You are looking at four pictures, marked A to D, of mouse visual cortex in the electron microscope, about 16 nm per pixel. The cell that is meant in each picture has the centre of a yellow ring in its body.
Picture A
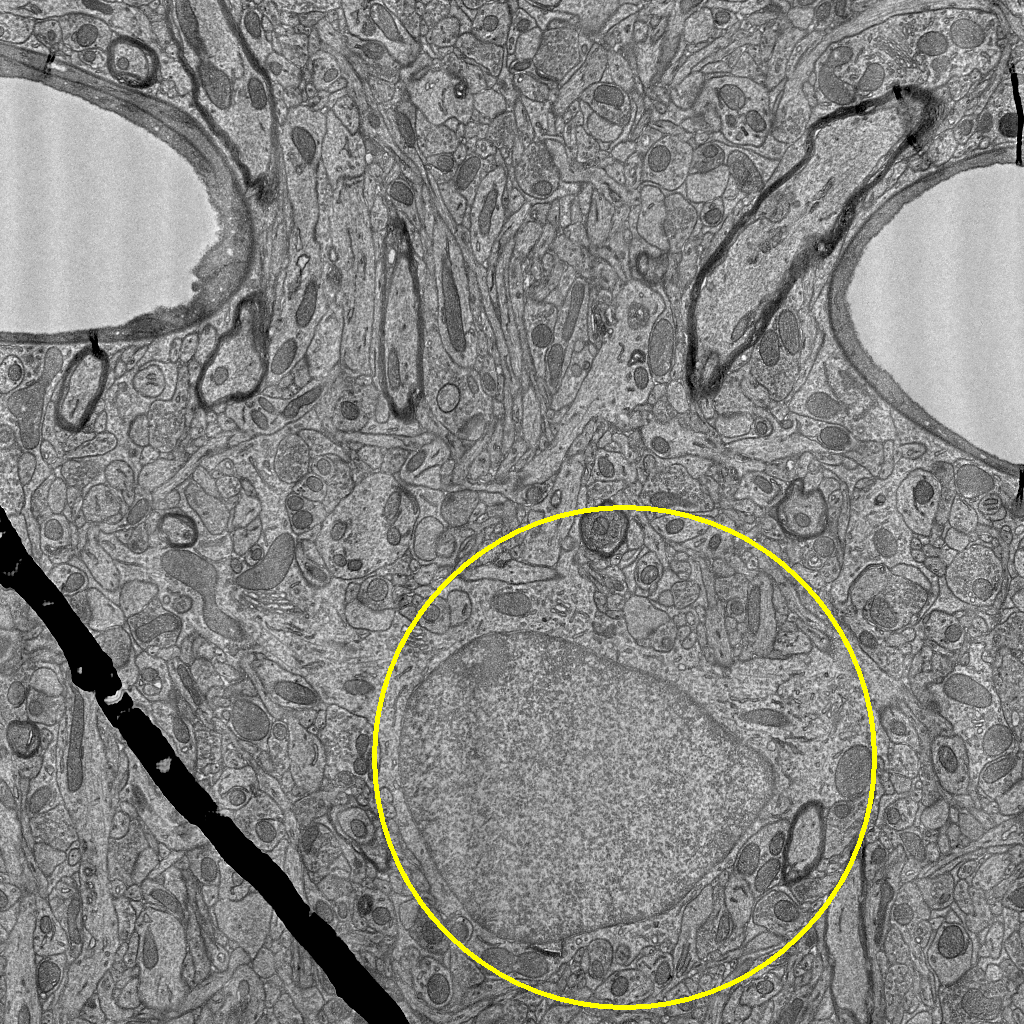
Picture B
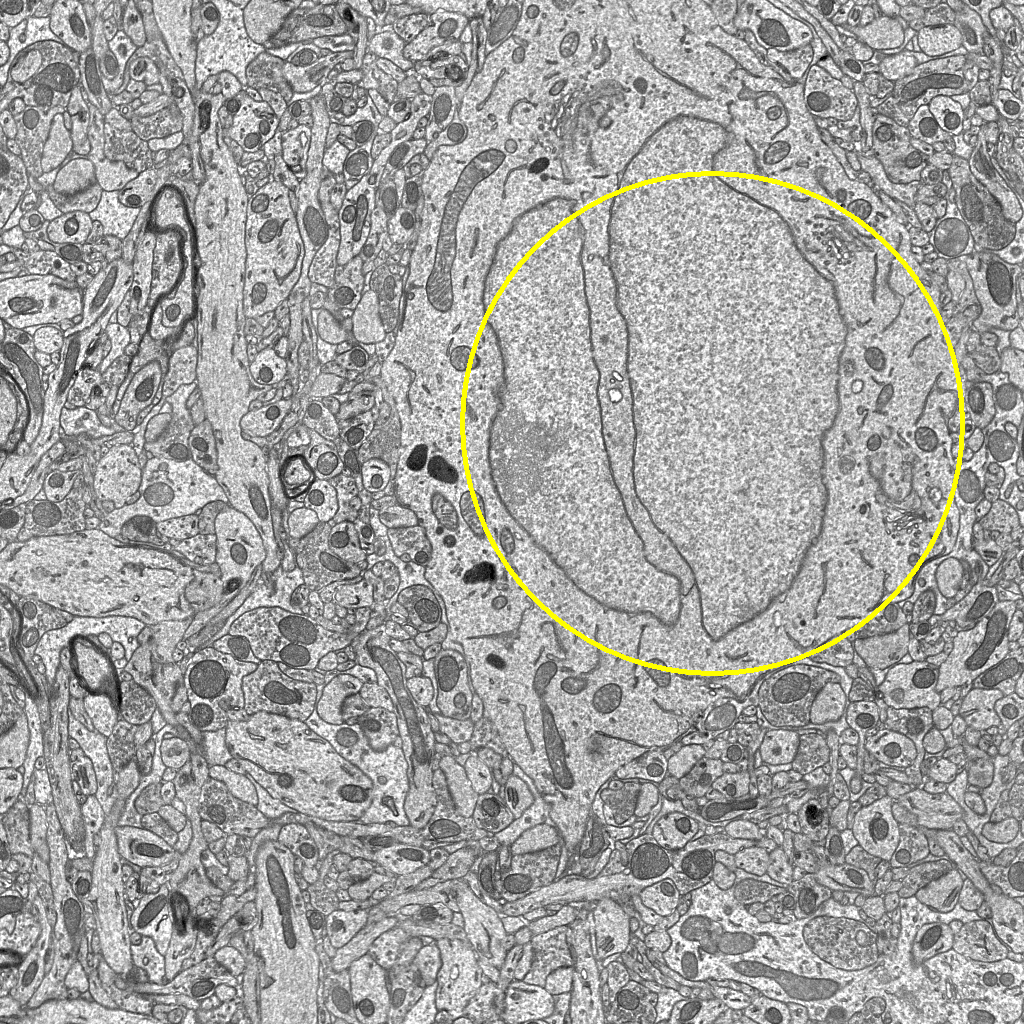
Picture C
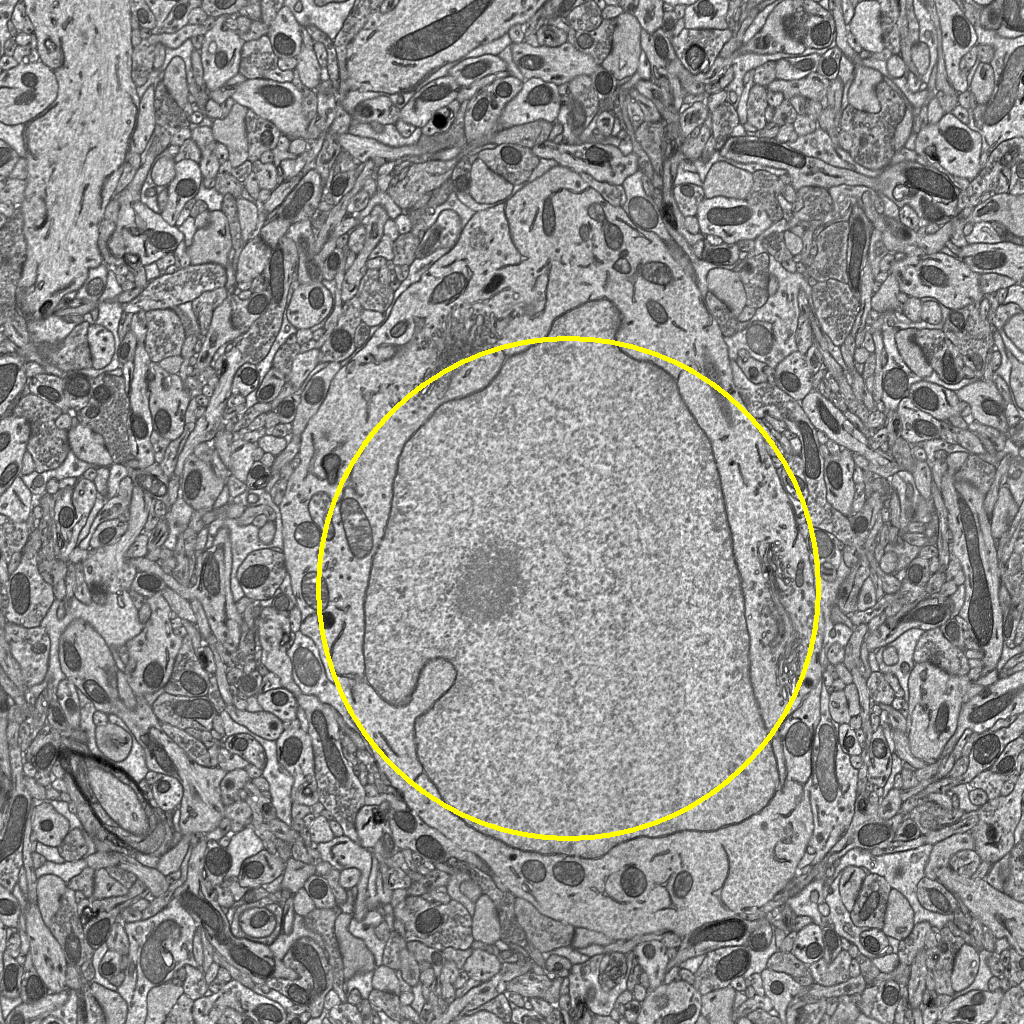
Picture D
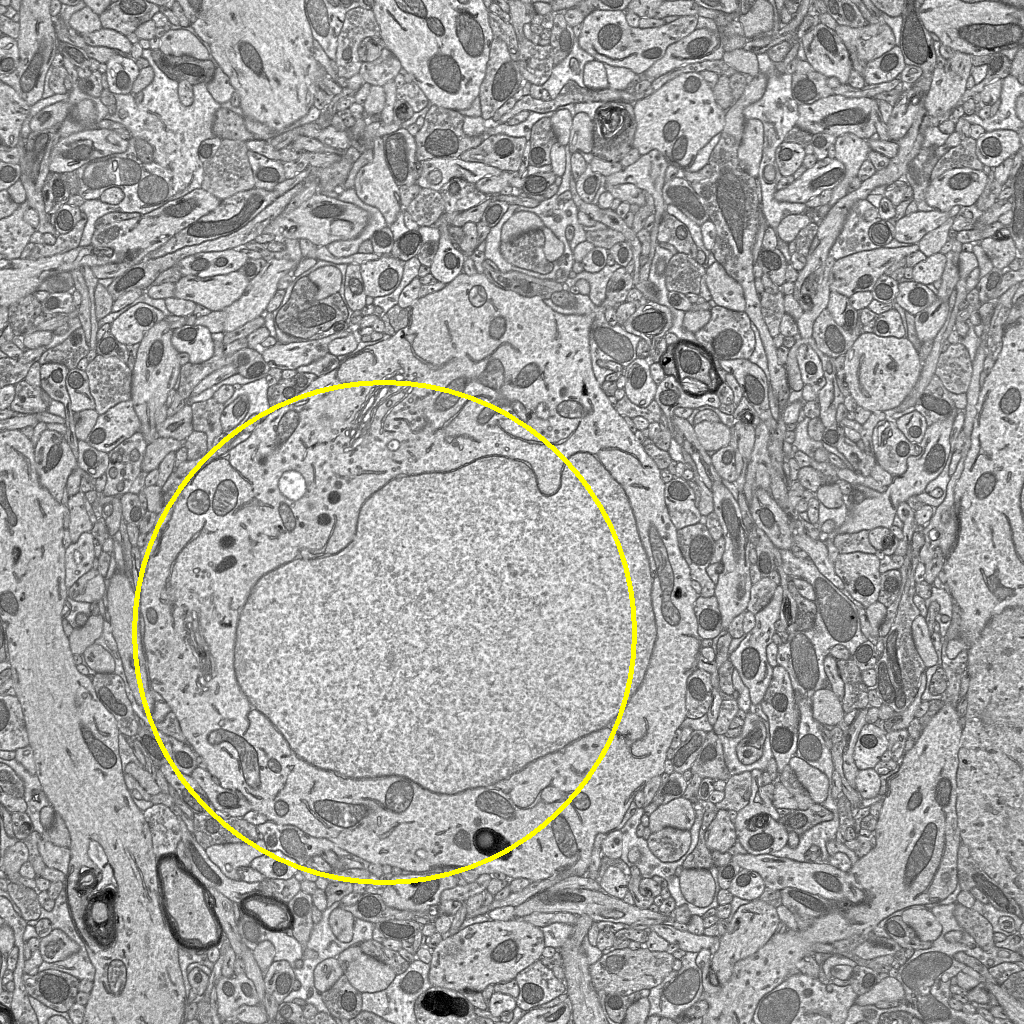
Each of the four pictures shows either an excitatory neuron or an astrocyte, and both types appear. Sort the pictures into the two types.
Pictures B, C and D show excitatory neurons, while picture A shows an astrocyte.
